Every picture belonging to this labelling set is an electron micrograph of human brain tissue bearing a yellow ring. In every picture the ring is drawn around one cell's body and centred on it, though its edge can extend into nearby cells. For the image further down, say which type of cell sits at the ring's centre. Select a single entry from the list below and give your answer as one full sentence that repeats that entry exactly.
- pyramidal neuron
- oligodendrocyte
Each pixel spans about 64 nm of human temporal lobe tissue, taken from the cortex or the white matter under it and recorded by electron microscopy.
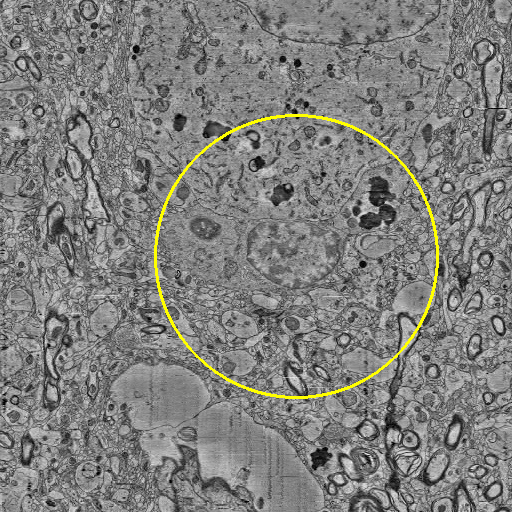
In the picture, an oligodendrocyte is the cell at the centre of the yellow ring.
